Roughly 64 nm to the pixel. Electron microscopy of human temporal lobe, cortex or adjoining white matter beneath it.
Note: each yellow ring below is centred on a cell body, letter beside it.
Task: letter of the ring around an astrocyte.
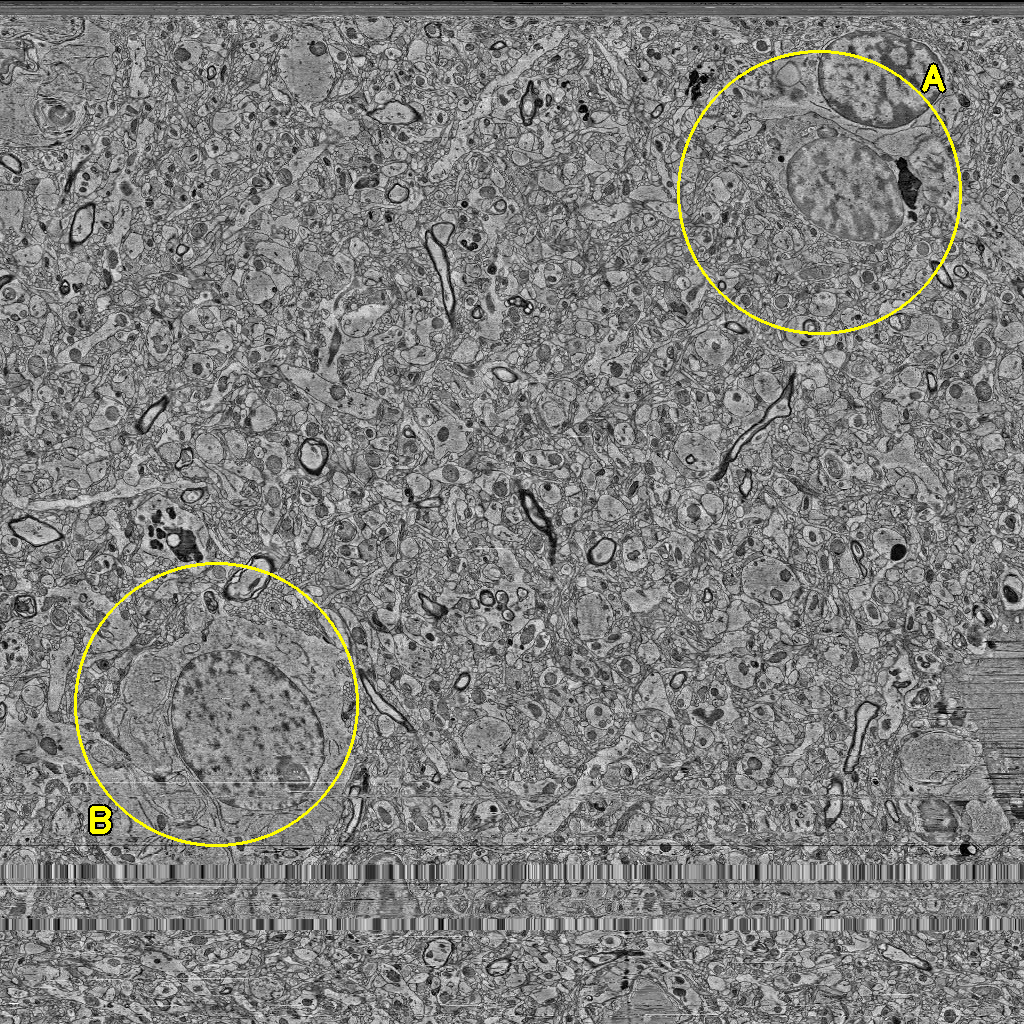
B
